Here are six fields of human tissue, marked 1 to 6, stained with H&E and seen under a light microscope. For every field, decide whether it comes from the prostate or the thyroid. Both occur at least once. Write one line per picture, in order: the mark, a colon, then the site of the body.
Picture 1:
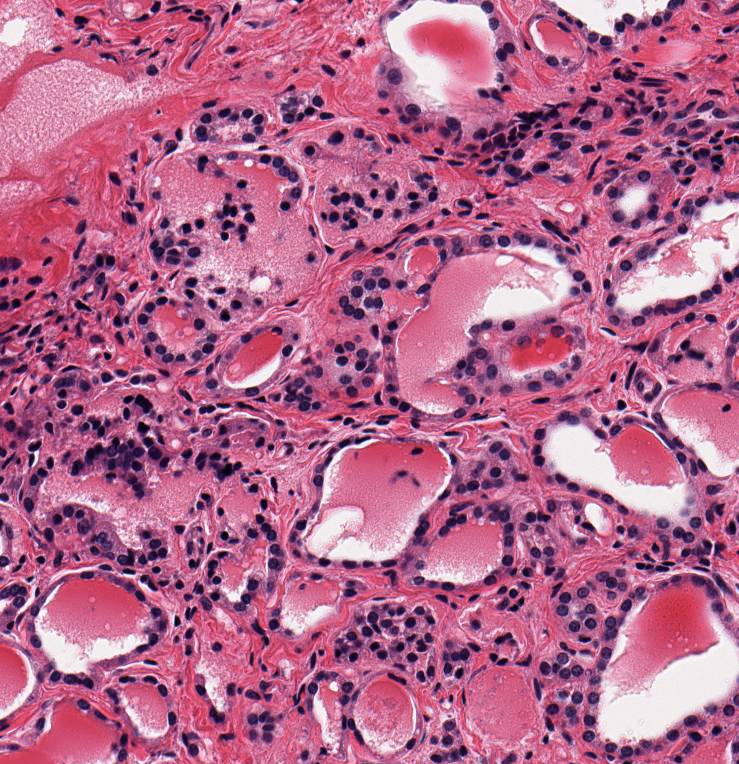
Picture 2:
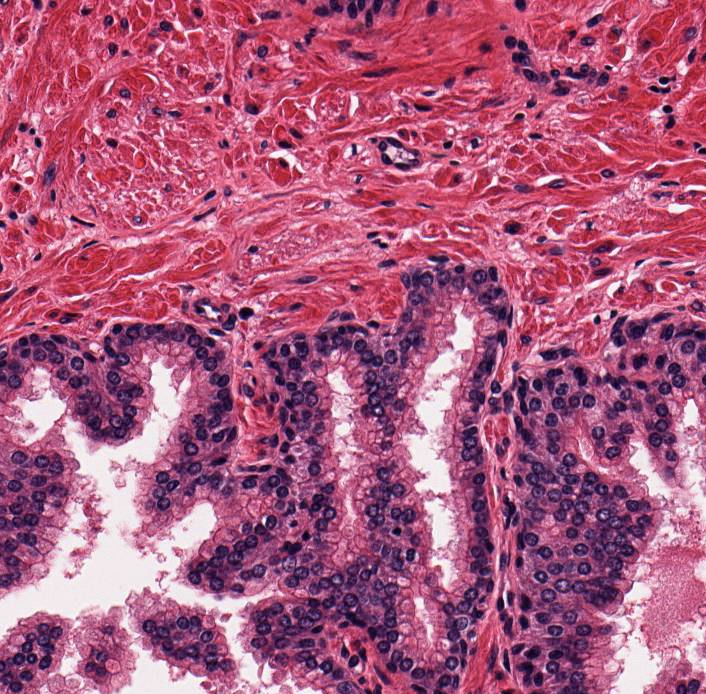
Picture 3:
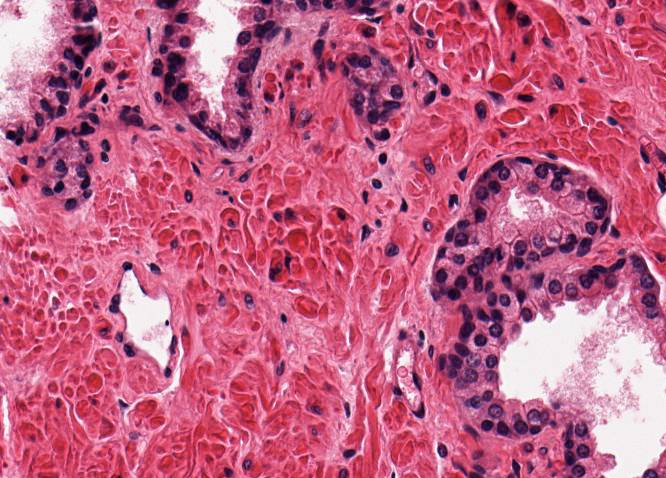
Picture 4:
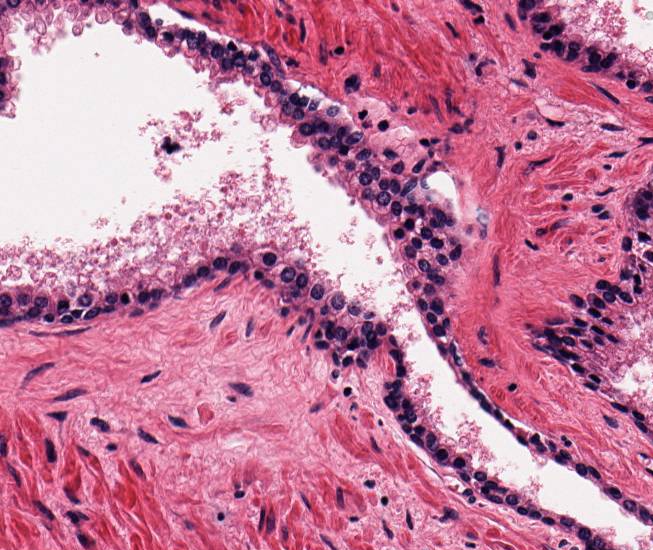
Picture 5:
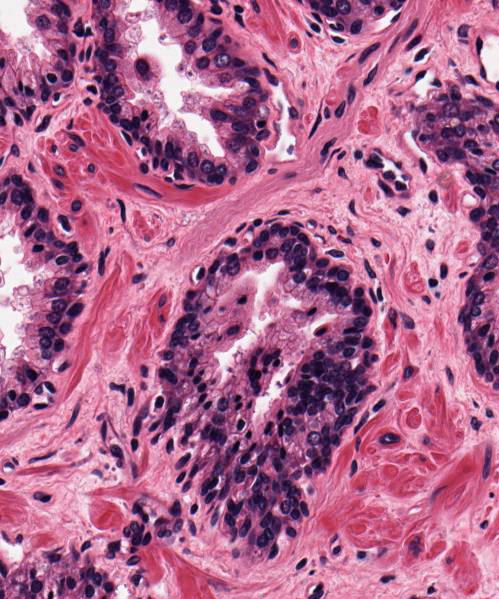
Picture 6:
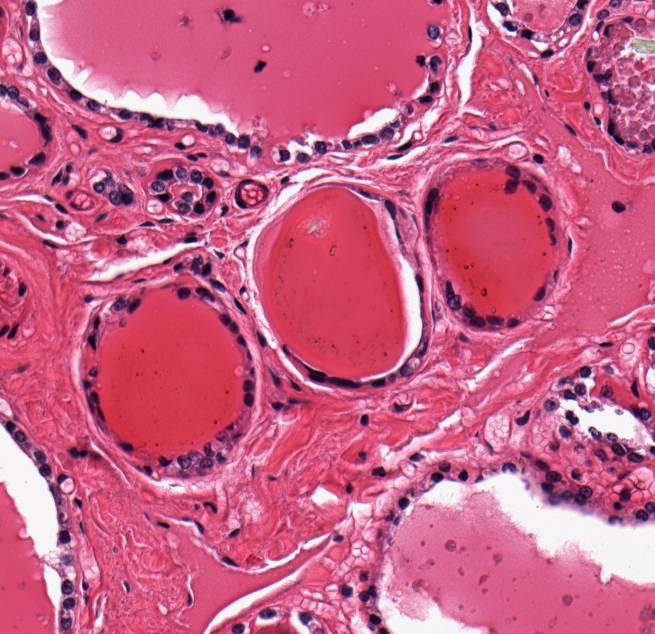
1: thyroid
2: prostate
3: prostate
4: prostate
5: prostate
6: thyroid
